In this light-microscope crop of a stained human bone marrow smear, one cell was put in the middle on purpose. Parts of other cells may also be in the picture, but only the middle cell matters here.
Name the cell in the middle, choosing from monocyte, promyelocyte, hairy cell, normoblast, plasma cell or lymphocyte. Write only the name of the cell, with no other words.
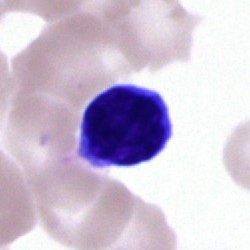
lymphocyte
